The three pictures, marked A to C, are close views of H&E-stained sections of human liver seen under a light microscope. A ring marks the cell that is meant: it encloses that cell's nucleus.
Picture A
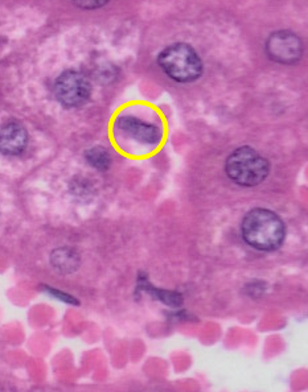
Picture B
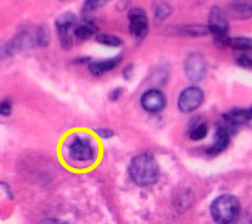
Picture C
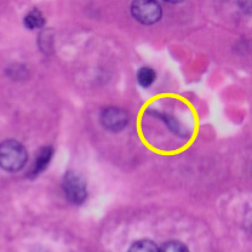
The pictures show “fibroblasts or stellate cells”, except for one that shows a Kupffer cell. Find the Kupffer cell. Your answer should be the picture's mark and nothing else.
A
